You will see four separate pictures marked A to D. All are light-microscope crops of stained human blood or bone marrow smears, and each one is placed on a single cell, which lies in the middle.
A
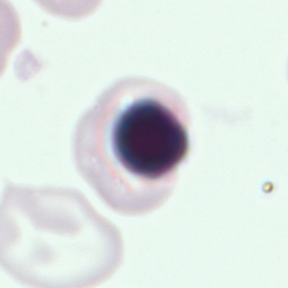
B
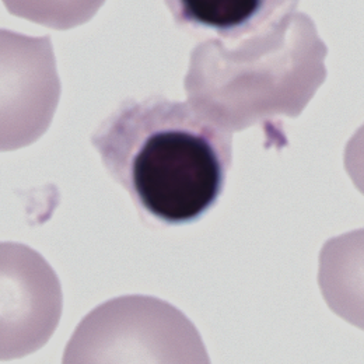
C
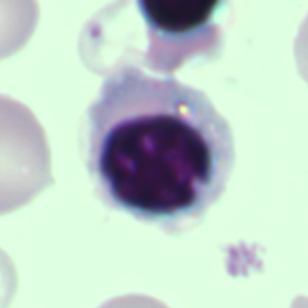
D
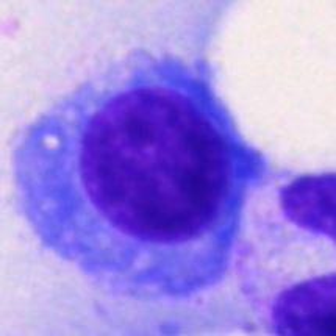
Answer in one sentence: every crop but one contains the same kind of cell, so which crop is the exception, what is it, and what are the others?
The different one is crop D, which is a plasma cell; the rest all show erythroblasts.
